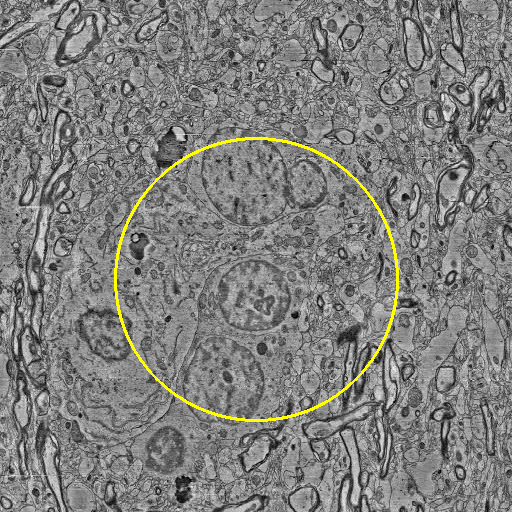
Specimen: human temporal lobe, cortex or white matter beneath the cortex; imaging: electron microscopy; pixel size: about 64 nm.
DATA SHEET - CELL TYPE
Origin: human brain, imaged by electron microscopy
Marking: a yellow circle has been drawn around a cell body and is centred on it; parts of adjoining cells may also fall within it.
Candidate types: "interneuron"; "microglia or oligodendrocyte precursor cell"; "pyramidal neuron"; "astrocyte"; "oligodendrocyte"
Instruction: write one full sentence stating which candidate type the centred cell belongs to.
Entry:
The cell body at the centre of the yellow ring in this micrograph belongs to an oligodendrocyte.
